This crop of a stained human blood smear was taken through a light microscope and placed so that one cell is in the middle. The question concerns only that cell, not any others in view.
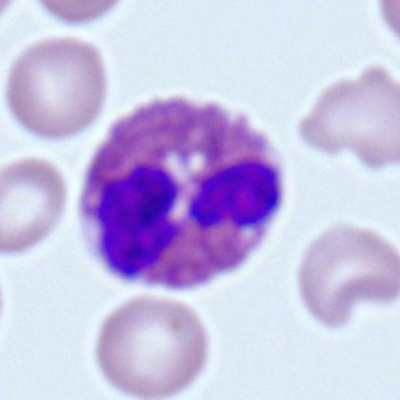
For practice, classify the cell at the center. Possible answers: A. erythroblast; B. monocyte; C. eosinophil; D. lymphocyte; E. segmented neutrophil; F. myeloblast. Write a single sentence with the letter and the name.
That cell in the center is an eosinophil, hence option C.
